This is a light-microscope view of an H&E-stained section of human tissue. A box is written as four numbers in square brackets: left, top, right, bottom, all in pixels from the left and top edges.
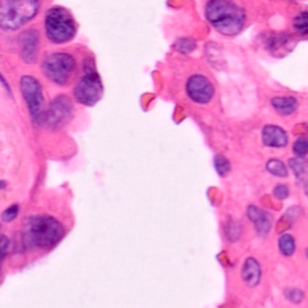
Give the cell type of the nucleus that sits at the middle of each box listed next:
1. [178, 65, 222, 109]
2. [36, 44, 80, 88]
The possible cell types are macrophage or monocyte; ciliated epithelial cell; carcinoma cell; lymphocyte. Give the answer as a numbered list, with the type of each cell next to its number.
1. macrophage or monocyte
2. carcinoma cell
